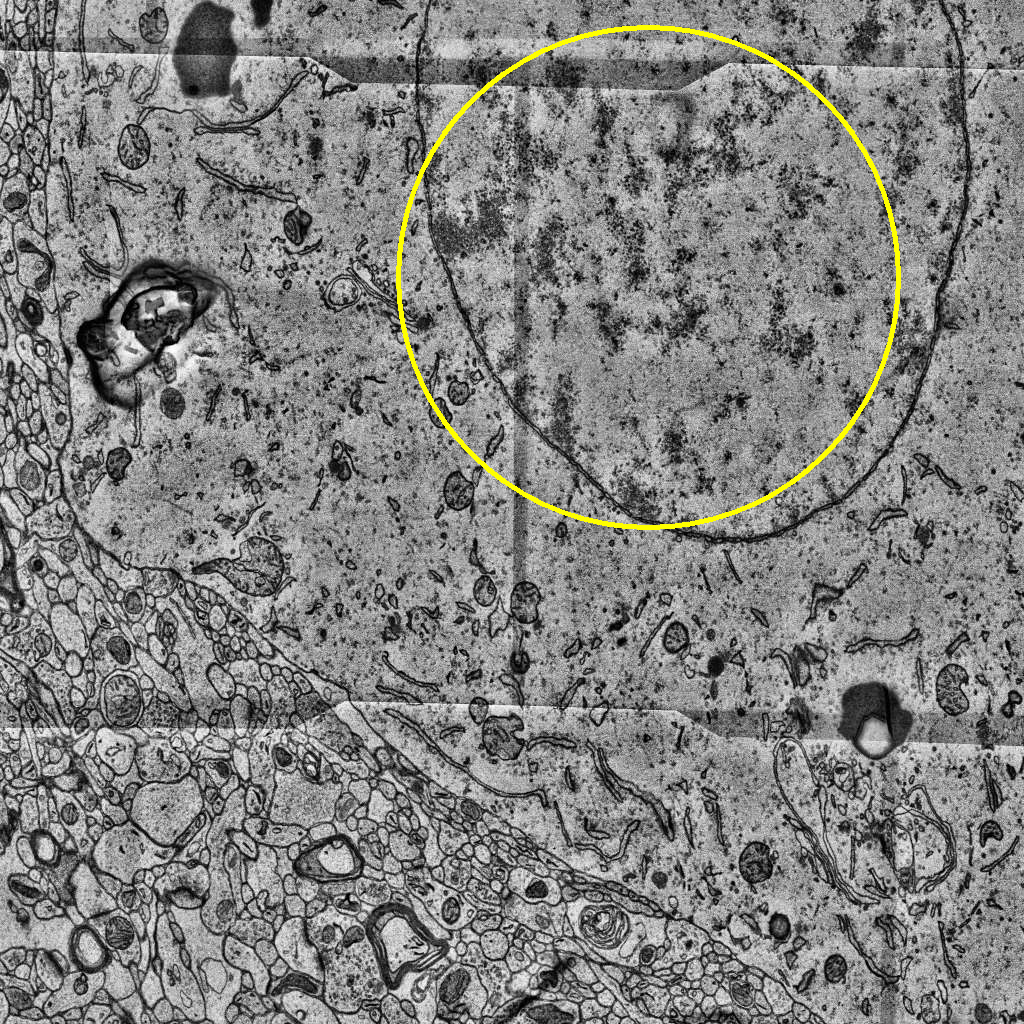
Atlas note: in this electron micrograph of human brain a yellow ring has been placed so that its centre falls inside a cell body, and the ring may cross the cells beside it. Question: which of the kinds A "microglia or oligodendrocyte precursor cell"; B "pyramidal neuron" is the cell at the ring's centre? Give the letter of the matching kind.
B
